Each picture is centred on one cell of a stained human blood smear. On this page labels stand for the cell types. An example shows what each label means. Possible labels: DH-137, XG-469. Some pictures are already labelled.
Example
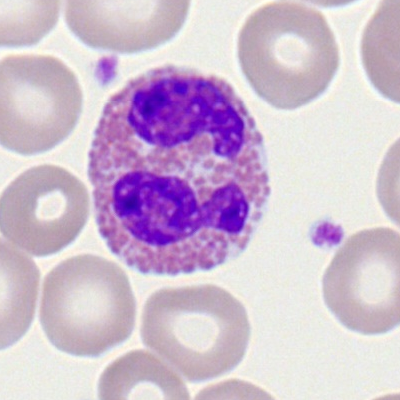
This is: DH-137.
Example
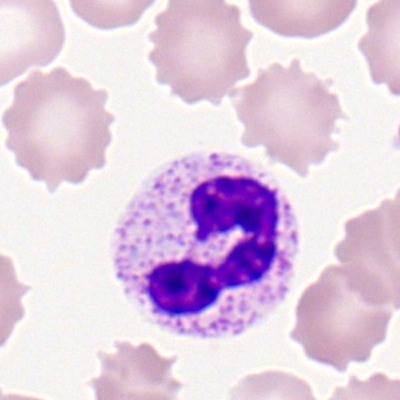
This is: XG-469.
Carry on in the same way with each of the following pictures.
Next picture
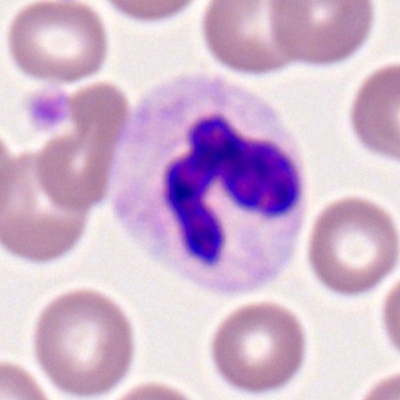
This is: XG-469.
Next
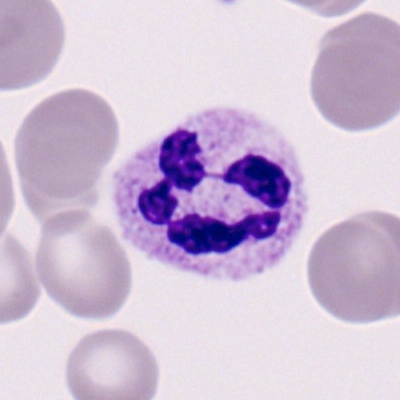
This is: XG-469.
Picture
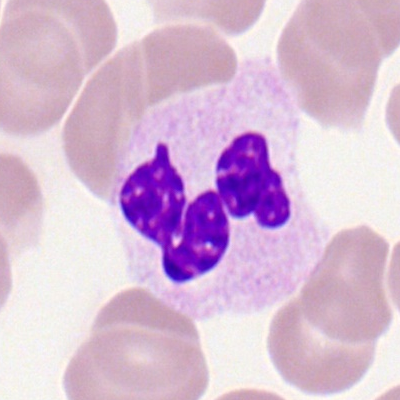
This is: XG-469.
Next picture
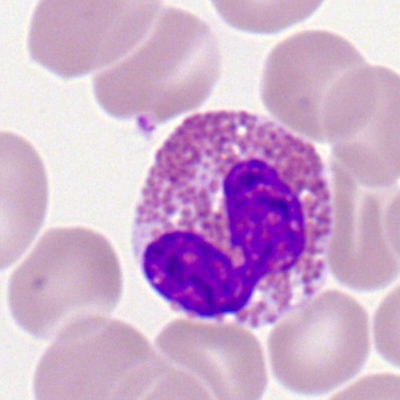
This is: DH-137.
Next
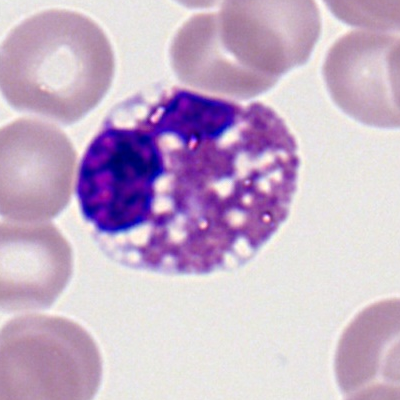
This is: DH-137.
